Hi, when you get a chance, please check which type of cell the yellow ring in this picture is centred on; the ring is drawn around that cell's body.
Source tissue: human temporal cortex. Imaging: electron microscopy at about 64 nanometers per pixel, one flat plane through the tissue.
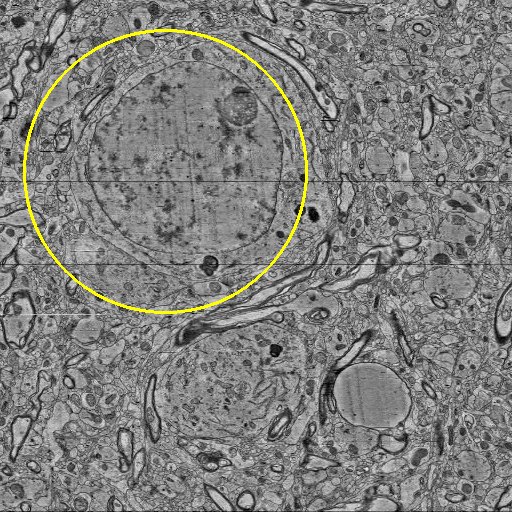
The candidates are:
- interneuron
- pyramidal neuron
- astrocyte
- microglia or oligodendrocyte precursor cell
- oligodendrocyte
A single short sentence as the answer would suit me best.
The ring is drawn around the body of a pyramidal neuron.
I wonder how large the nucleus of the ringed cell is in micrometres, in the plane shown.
Roughly 13 micrometers across in this plane.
